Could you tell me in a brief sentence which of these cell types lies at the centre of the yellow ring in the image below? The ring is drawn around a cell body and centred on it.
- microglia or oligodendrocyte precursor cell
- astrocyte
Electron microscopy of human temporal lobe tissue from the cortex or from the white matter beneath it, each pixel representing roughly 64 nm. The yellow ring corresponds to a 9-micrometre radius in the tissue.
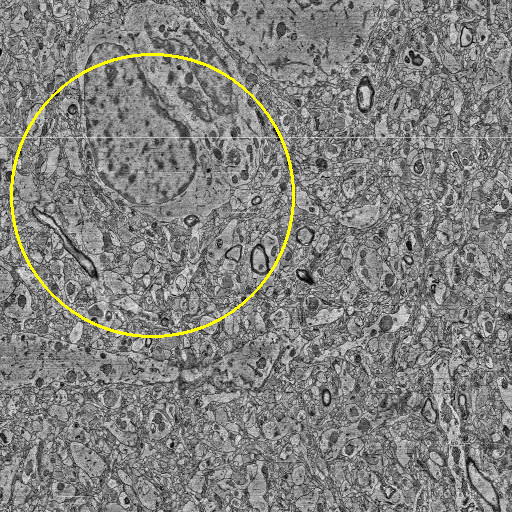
The cell centred in the ring is a microglial cell or oligodendrocyte precursor cell.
